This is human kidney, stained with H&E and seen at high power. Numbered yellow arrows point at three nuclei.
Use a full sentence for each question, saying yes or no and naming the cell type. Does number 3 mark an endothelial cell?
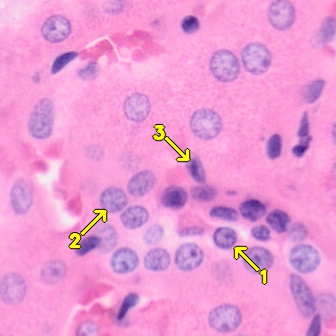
Yes, the numbered cell 3 is an endothelial cell.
